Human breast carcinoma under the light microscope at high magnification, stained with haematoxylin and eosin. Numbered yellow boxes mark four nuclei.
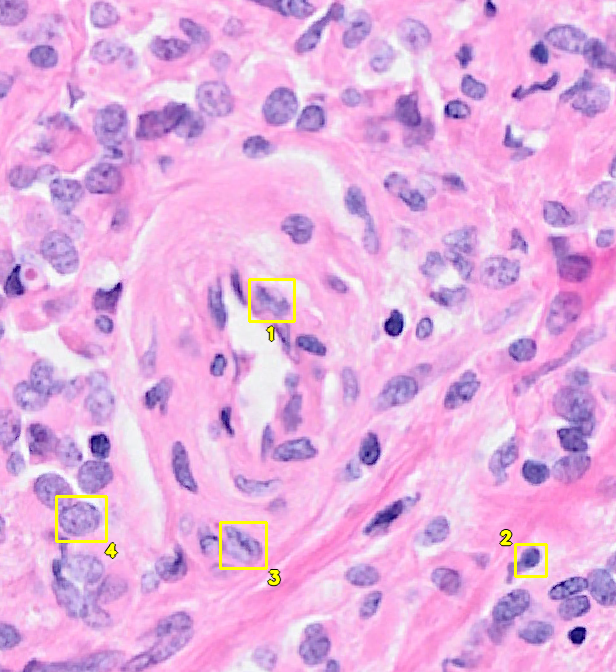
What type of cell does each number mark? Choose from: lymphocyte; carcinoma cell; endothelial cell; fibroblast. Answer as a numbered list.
1. endothelial cell
2. lymphocyte
3. endothelial cell
4. carcinoma cell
